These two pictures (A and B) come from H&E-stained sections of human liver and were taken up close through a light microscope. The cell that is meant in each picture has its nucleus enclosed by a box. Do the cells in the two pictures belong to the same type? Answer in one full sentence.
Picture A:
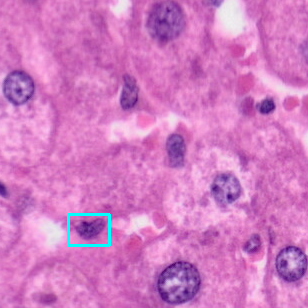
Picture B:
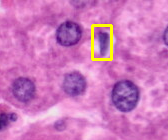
No, picture A shows a “fibroblast or stellate cell” and picture B shows an endothelial cell.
